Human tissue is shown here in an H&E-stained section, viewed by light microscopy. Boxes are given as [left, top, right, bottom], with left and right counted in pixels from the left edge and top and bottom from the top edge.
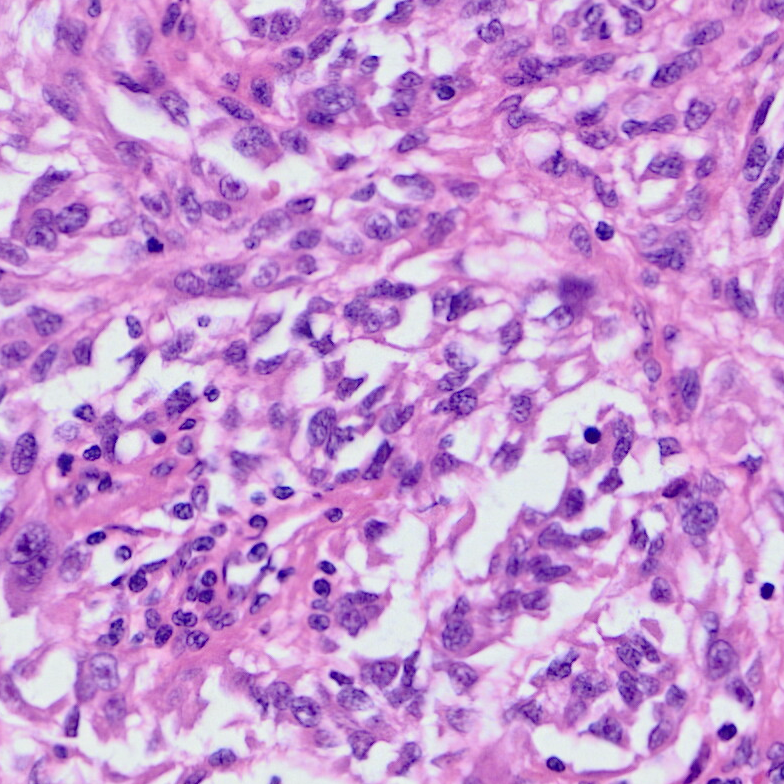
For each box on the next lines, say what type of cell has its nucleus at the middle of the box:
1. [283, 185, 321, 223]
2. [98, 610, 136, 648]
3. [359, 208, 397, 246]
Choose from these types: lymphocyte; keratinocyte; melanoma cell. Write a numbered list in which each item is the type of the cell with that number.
1. melanoma cell
2. lymphocyte
3. melanoma cell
